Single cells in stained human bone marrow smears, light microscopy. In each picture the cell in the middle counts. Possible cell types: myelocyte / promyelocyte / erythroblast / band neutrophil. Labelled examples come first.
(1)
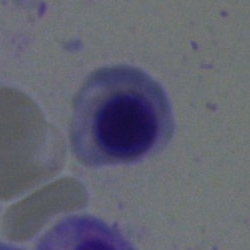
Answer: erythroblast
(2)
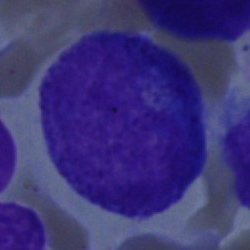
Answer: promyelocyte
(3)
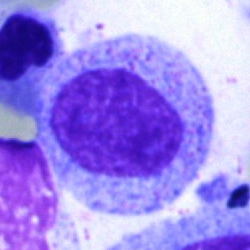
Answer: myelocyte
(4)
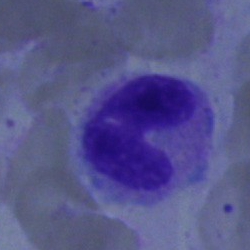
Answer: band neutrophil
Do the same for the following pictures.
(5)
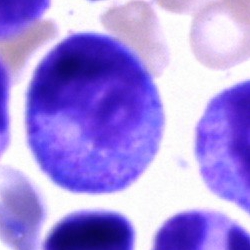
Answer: promyelocyte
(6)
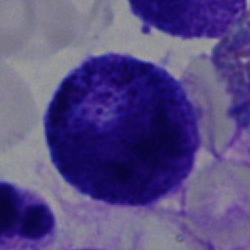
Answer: promyelocyte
